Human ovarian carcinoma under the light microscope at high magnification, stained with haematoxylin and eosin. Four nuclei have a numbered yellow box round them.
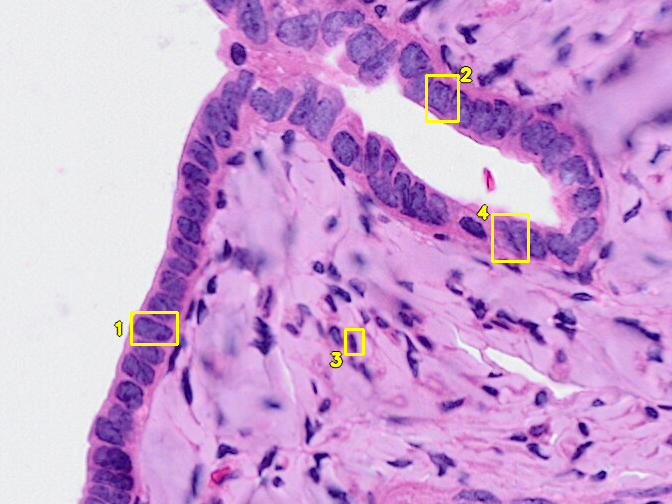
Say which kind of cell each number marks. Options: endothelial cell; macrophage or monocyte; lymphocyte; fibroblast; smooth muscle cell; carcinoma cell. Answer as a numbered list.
1. carcinoma cell
2. carcinoma cell
3. smooth muscle cell
4. carcinoma cell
